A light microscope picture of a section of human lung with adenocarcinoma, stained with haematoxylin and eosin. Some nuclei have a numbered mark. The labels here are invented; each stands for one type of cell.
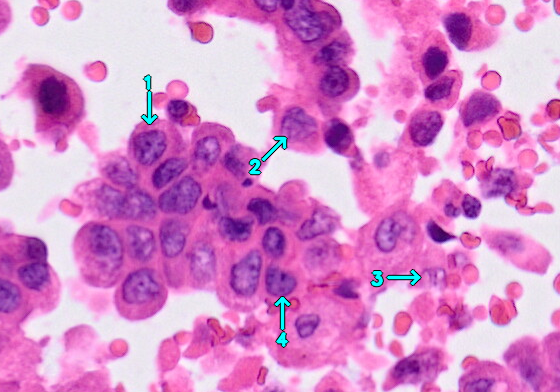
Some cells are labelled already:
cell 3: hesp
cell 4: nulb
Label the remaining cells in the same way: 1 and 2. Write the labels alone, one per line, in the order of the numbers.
nulb
nulb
